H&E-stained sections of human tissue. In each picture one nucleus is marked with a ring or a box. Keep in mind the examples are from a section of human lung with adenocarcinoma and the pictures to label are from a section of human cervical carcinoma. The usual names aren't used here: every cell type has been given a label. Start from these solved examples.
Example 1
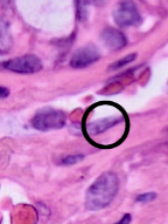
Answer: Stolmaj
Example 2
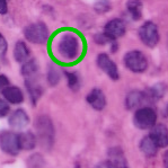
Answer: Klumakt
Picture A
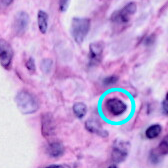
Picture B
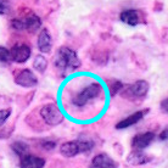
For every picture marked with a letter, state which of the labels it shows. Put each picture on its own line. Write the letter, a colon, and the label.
A: Klumakt
B: Klumakt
